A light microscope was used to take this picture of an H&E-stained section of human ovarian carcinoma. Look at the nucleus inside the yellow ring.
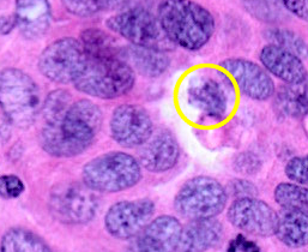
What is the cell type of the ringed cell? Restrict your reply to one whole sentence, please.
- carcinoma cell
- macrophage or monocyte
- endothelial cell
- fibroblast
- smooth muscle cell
In cellular terms, the ringed cell is a macrophage or monocyte.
